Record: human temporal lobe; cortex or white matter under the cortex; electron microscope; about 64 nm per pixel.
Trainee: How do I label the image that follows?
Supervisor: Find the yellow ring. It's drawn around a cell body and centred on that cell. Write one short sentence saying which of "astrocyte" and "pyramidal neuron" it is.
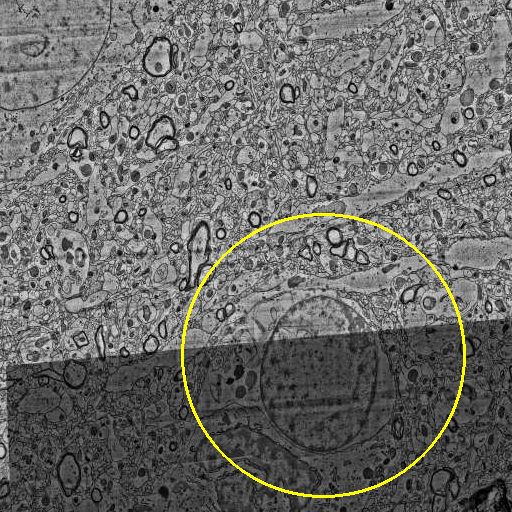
This is the cell body of an astrocyte.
